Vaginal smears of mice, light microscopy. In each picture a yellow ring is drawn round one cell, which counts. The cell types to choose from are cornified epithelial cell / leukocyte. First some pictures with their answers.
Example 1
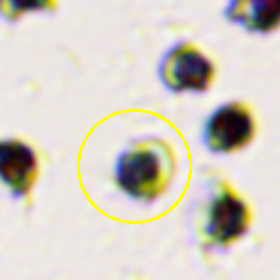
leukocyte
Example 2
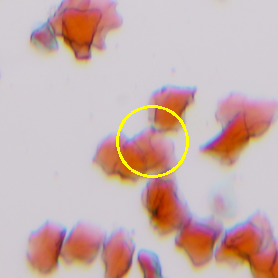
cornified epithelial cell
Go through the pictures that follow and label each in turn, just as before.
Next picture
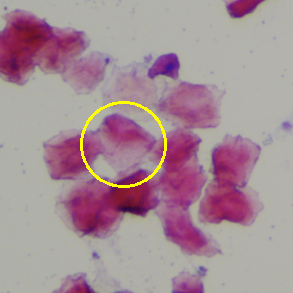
cornified epithelial cell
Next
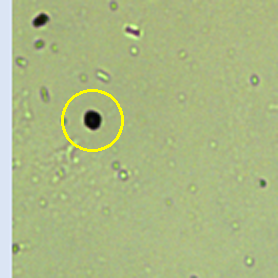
leukocyte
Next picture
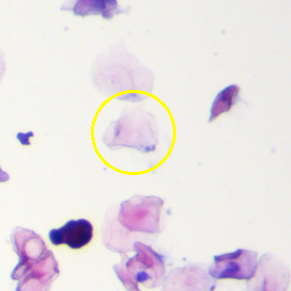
cornified epithelial cell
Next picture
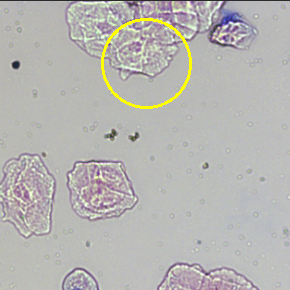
cornified epithelial cell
